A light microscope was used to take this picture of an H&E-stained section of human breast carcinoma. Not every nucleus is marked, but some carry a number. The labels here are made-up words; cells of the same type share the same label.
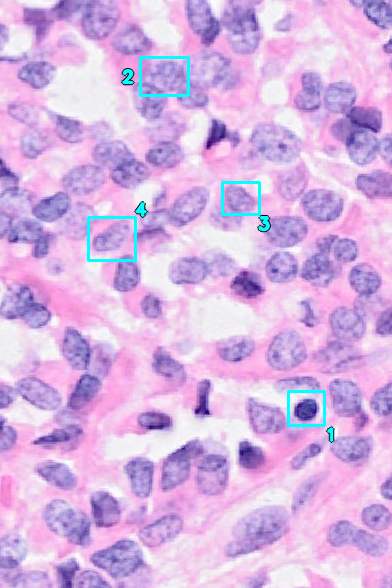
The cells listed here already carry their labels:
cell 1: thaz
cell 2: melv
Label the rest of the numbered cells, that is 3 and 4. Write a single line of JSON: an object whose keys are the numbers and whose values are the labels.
{"3": "melv", "4": "melv"}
